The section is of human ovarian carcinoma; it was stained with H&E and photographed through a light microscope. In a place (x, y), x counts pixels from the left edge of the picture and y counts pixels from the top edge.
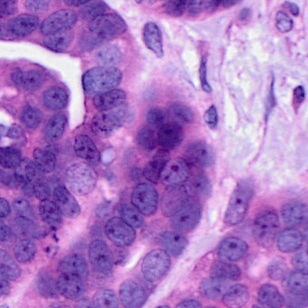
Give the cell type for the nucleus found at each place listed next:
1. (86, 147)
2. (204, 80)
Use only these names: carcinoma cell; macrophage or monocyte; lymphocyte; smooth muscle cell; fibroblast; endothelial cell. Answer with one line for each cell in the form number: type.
1: carcinoma cell
2: fibroblast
